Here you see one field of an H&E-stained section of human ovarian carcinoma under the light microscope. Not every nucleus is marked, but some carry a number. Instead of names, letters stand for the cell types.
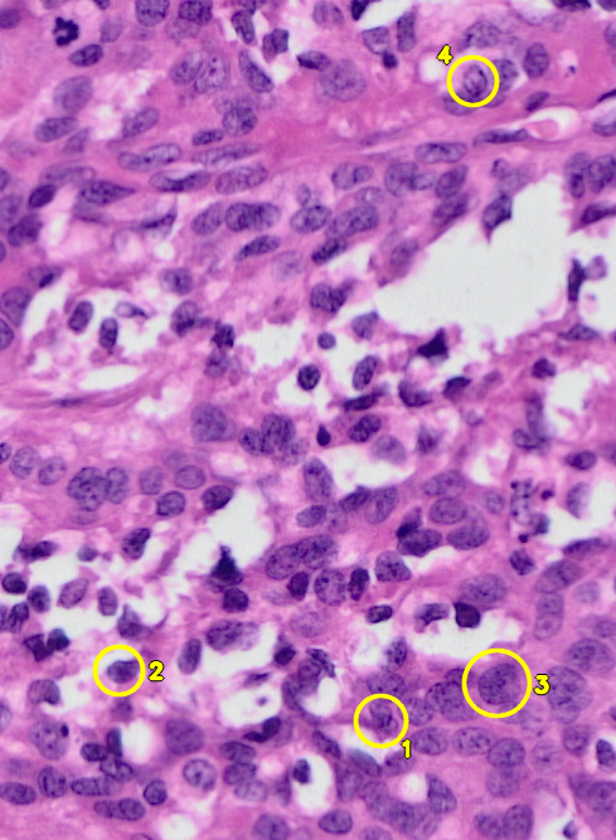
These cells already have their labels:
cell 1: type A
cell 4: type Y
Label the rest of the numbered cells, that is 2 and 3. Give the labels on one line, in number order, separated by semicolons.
type A; type A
